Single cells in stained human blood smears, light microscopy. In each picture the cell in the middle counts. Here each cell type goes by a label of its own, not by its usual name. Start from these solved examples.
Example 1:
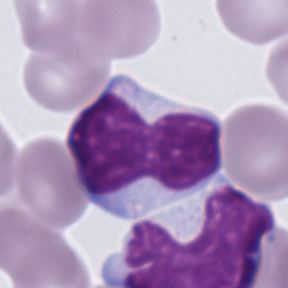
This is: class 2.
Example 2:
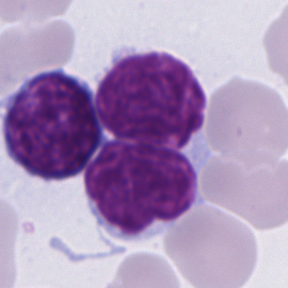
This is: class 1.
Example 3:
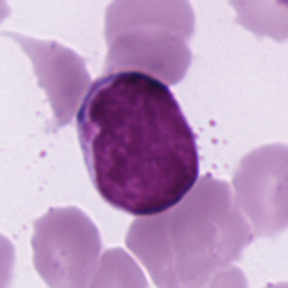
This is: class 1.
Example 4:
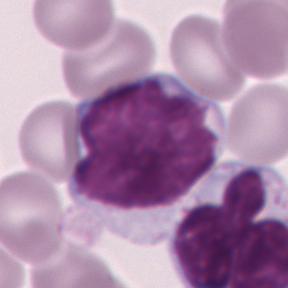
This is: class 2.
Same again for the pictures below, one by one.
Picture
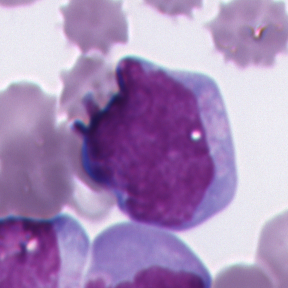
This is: class 1.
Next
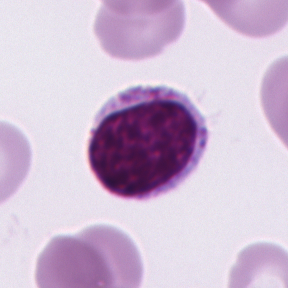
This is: class 2.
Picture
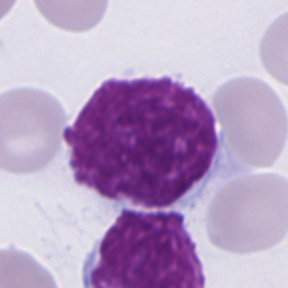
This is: class 1.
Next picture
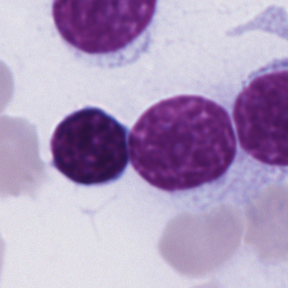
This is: class 1.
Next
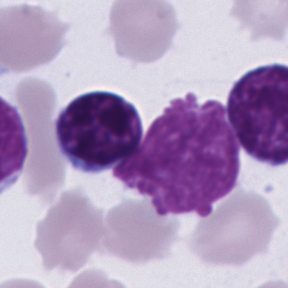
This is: class 1.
